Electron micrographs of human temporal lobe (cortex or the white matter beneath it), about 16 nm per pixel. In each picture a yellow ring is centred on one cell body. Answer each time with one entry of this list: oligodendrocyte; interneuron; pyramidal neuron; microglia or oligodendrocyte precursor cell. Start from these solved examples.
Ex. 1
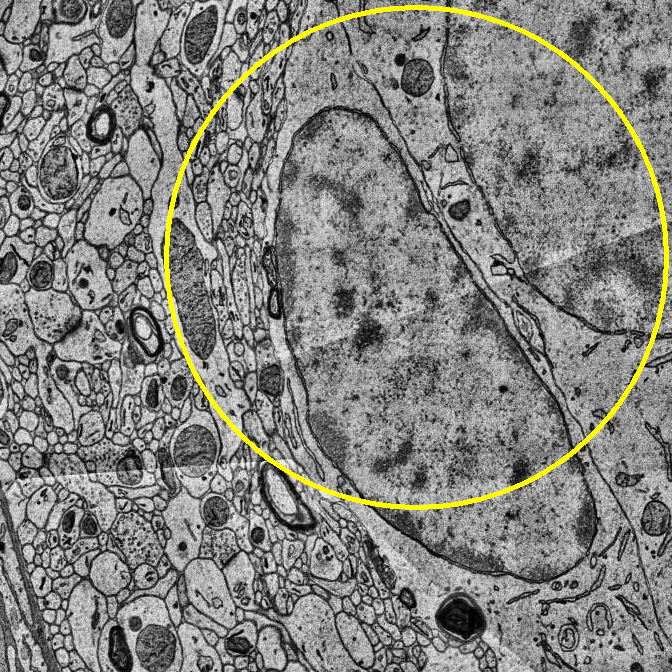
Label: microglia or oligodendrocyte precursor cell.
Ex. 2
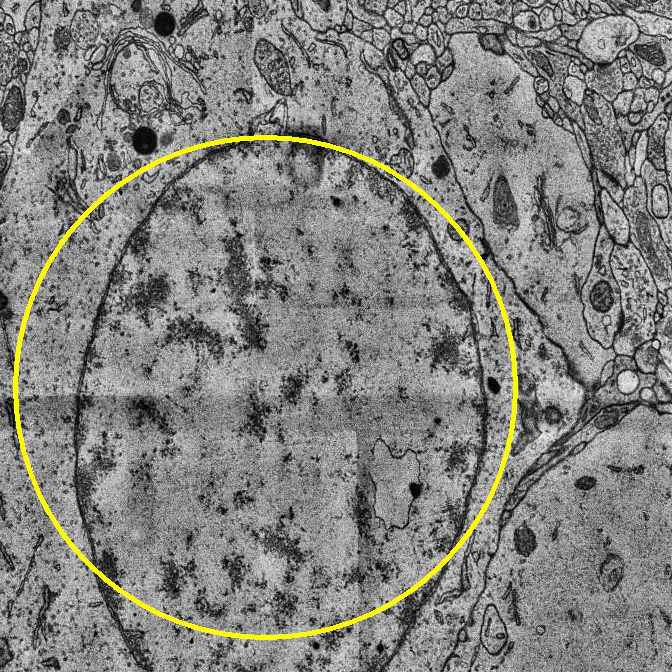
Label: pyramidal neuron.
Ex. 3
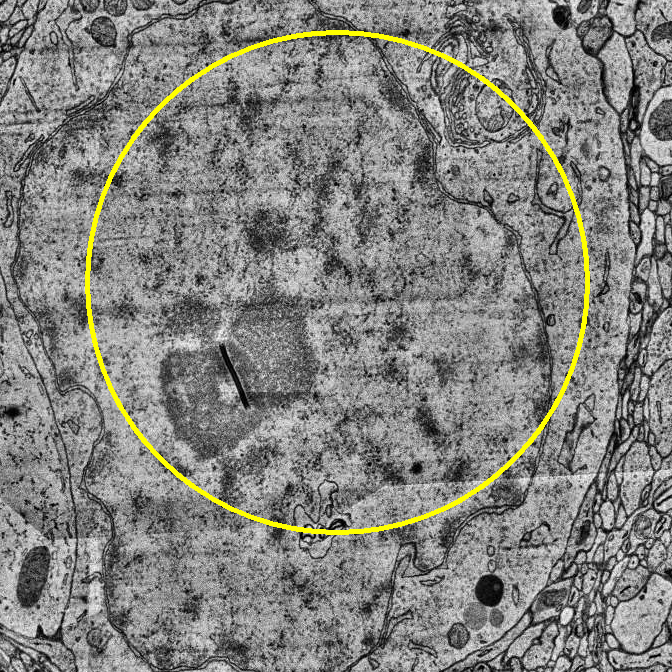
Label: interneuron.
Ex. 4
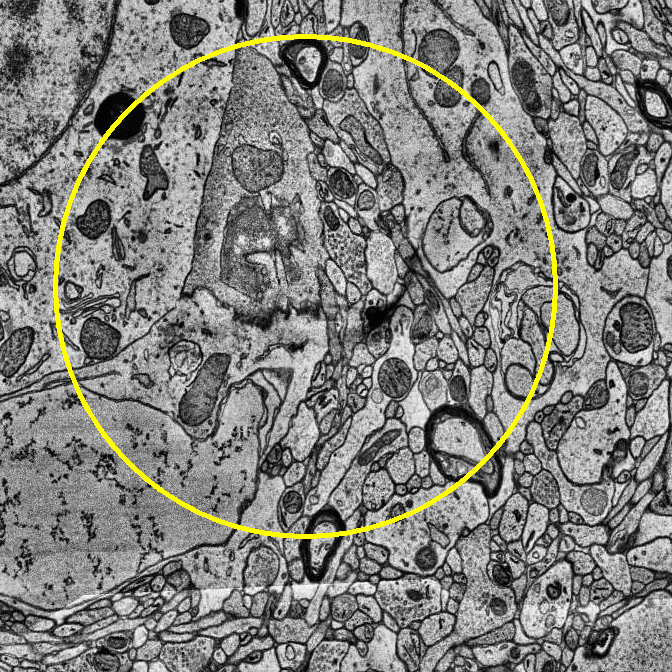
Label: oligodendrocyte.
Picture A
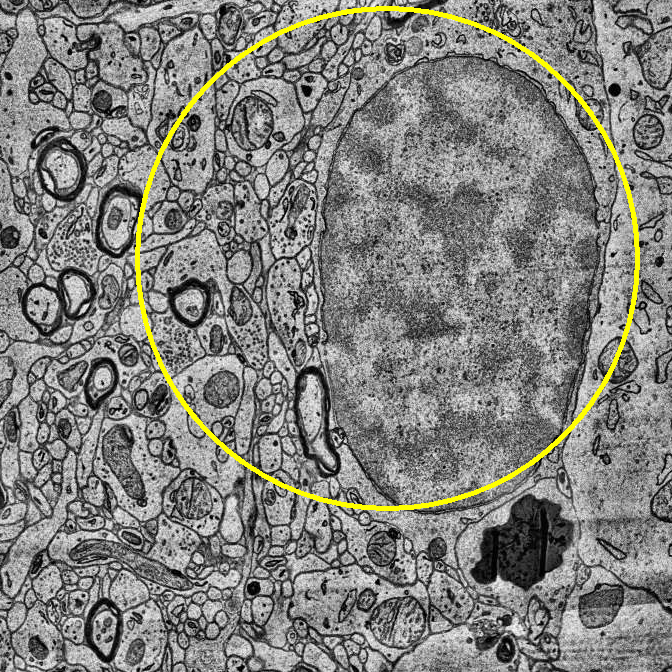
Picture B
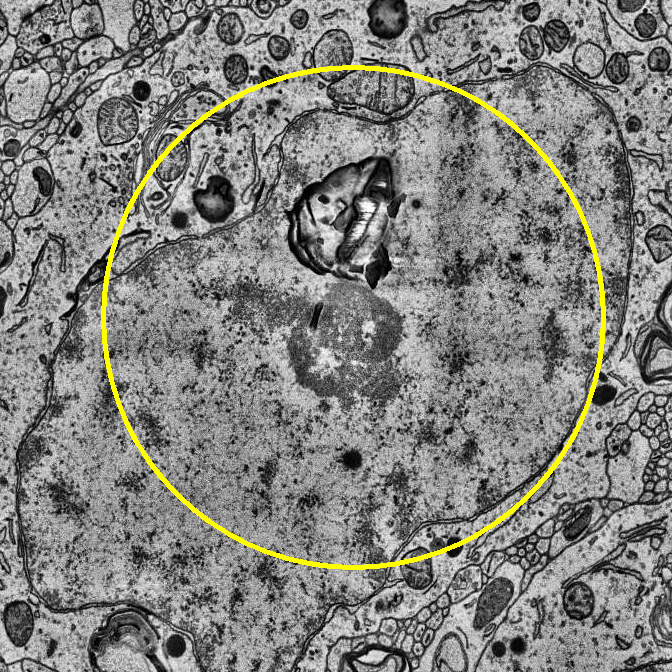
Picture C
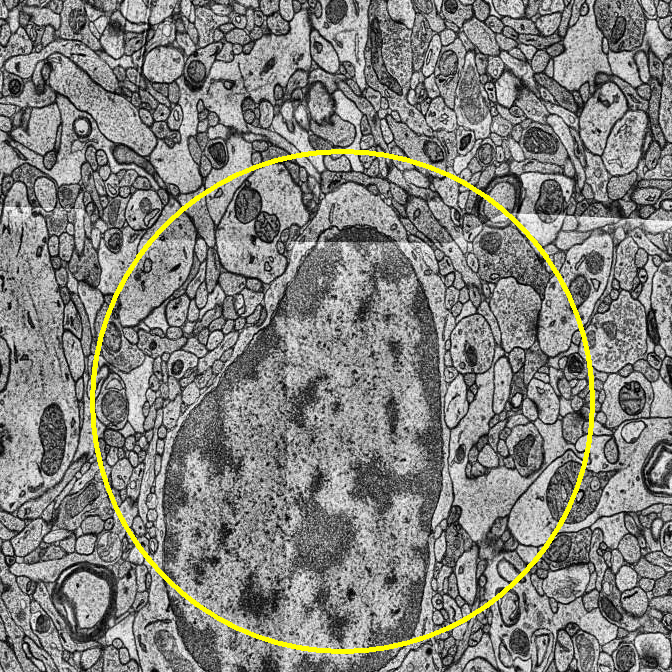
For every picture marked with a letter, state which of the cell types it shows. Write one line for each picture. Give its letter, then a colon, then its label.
A: oligodendrocyte.
B: interneuron.
C: microglia or oligodendrocyte precursor cell.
